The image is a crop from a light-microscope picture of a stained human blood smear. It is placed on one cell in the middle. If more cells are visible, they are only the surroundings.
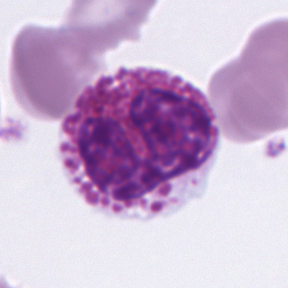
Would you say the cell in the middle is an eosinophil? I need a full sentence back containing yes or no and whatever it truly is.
Yes, an eosinophil is the cell positioned in the middle of the field.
